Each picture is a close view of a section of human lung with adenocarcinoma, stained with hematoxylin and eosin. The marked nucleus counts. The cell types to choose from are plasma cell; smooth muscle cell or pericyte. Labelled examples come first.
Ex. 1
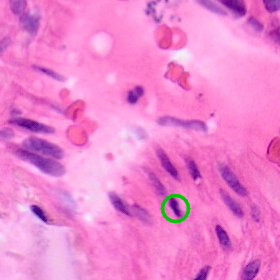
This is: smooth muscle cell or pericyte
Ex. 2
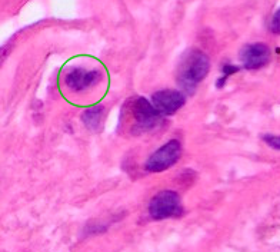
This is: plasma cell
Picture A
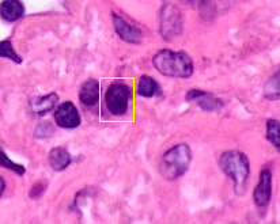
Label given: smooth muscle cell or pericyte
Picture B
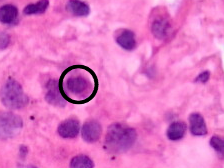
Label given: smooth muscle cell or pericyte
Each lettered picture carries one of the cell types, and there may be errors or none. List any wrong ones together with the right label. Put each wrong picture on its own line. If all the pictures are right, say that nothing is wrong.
A: change smooth muscle cell or pericyte to plasma cell
B: change smooth muscle cell or pericyte to plasma cell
